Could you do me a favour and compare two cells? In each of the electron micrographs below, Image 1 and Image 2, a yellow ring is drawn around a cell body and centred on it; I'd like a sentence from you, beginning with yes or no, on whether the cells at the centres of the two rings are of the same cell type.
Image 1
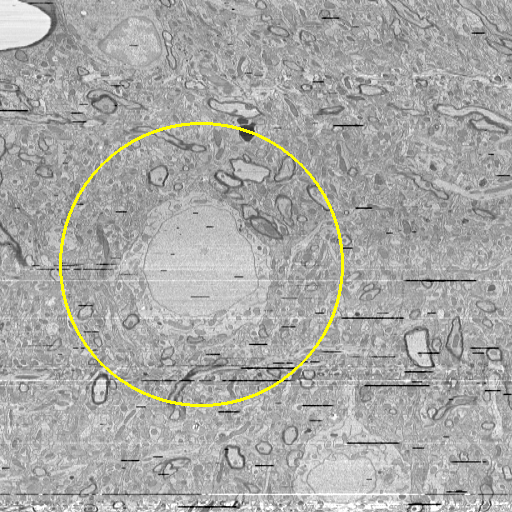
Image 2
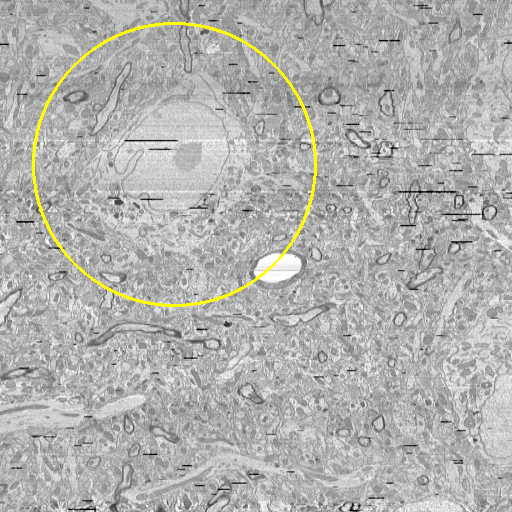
Yes, the two cells are of the same cell type.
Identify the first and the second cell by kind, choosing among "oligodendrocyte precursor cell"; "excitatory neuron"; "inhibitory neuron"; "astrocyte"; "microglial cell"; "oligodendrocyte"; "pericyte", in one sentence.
Each of the two cells is an excitatory neuron.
